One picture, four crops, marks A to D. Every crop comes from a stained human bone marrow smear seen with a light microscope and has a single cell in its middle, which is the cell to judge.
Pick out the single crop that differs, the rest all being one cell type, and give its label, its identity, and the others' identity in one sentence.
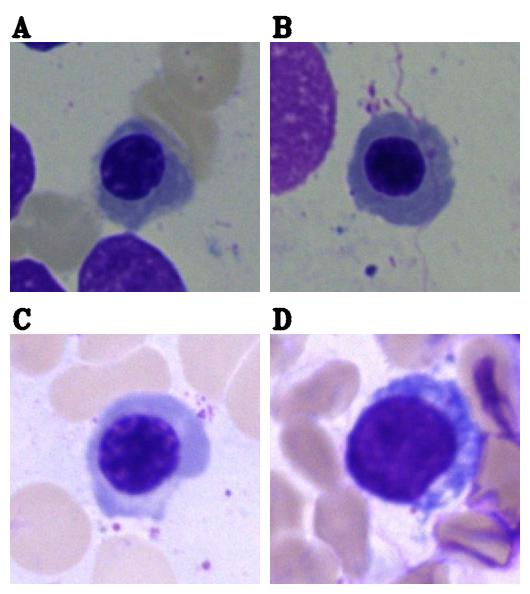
Only in crop D is there a lymphocyte; all other crops show erythroblasts.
